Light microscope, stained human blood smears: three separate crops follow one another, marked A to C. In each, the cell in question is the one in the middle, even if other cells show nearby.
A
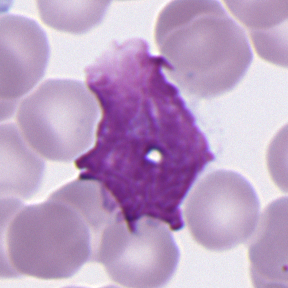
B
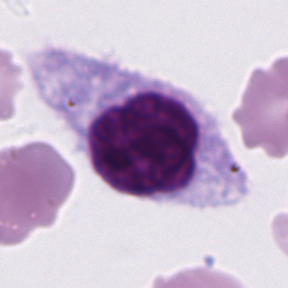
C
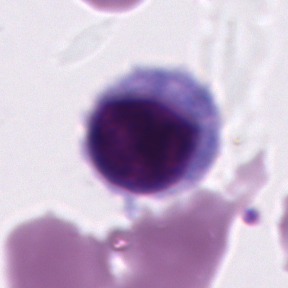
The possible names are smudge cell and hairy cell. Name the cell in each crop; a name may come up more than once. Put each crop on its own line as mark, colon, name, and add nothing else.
A: smudge cell
B: hairy cell
C: hairy cell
